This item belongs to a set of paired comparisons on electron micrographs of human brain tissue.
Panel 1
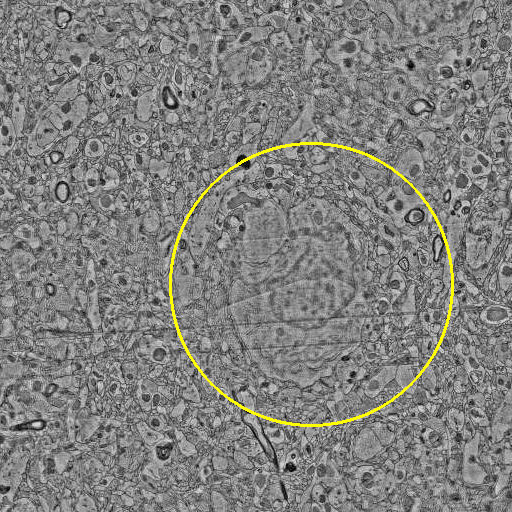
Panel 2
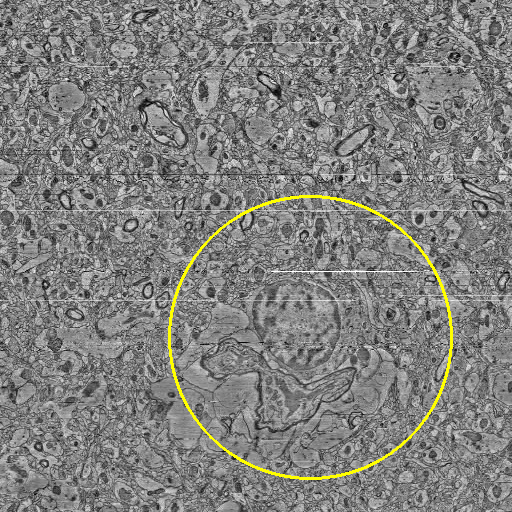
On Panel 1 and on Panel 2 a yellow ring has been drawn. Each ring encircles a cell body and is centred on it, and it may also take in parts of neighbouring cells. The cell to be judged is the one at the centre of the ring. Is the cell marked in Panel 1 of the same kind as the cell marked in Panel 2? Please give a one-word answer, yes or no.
no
